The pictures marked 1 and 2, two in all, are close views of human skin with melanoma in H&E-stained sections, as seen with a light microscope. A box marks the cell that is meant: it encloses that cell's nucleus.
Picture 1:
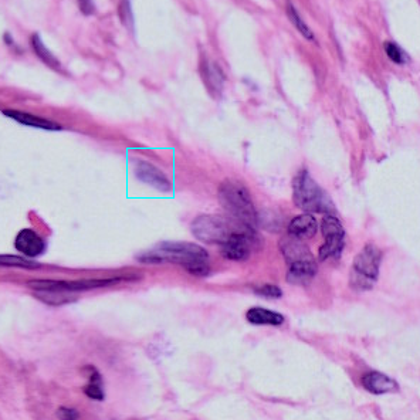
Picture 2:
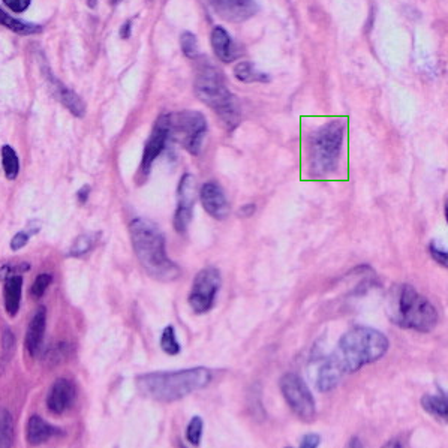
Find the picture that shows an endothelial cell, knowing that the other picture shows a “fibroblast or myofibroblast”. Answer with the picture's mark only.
1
